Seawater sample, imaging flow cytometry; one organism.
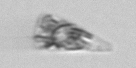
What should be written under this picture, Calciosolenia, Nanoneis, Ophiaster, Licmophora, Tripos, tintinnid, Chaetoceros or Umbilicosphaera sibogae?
Licmophora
